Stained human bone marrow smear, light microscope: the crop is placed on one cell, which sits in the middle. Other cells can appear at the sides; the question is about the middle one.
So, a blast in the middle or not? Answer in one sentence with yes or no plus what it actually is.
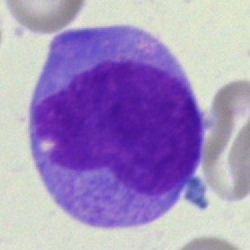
Yes, the cell found in the middle is a blast.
